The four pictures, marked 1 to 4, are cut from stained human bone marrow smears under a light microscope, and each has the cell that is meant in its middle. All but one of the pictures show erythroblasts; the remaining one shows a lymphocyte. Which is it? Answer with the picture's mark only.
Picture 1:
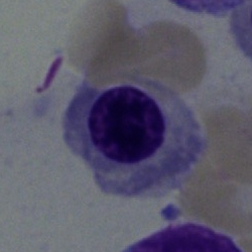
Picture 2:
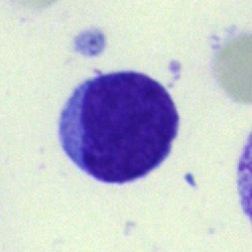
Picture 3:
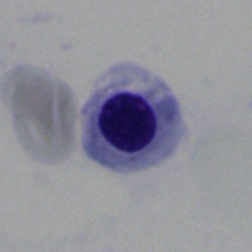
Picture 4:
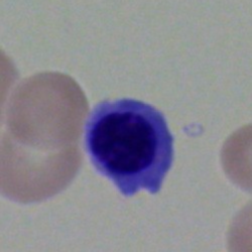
2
